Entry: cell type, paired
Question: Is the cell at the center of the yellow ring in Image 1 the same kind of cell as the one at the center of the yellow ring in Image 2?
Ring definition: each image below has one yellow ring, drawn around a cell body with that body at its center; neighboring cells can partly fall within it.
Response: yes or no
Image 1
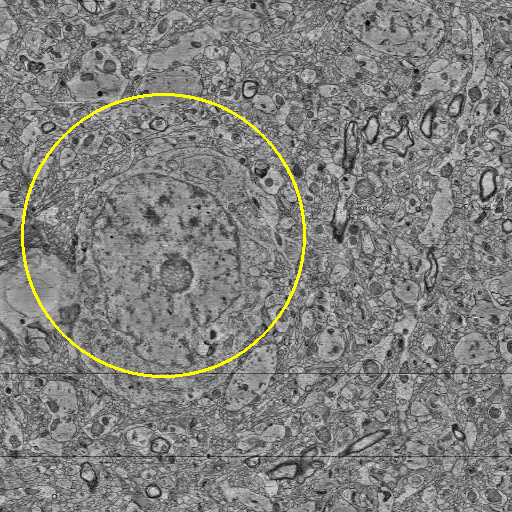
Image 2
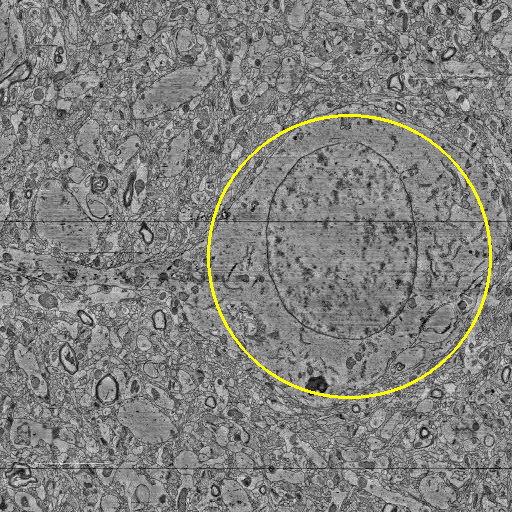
no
